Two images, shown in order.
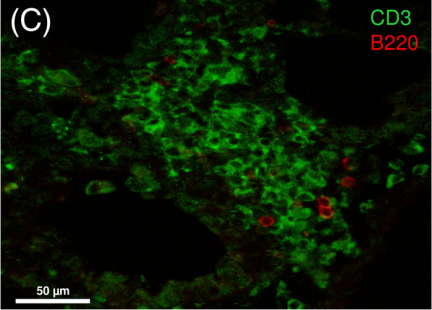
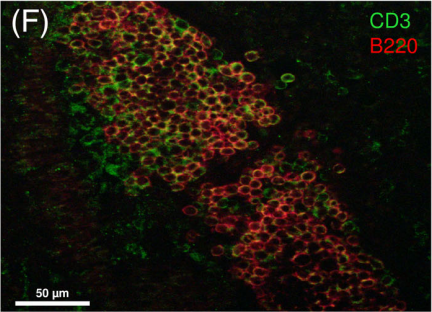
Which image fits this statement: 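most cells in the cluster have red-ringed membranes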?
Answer: the second image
